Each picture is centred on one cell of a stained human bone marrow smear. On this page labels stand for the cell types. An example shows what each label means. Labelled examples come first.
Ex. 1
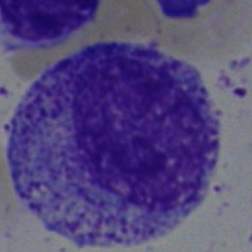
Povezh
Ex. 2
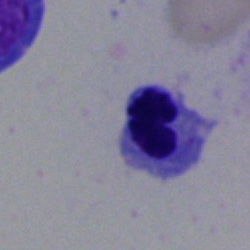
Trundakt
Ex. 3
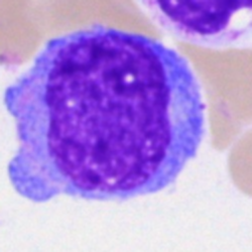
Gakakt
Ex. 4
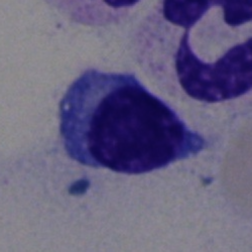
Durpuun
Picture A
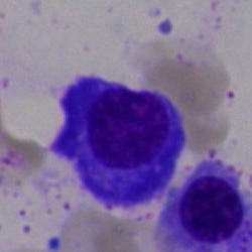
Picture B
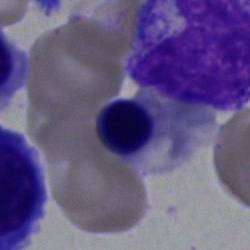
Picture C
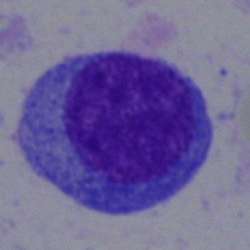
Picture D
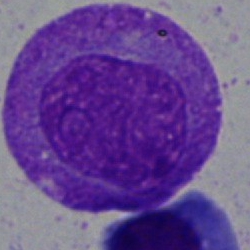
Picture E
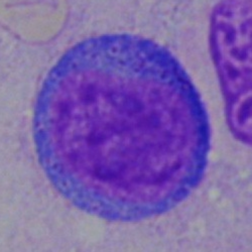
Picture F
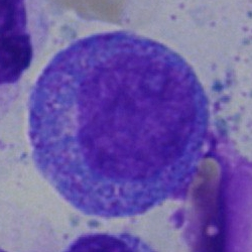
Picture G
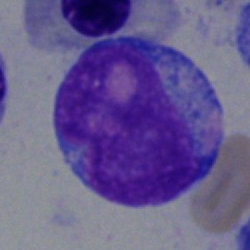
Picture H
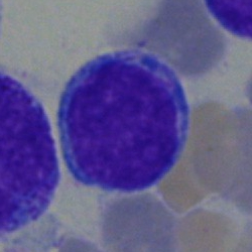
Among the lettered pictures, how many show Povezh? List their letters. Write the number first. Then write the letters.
1, namely F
